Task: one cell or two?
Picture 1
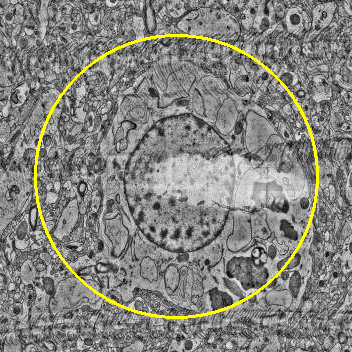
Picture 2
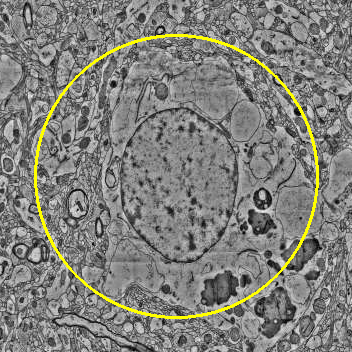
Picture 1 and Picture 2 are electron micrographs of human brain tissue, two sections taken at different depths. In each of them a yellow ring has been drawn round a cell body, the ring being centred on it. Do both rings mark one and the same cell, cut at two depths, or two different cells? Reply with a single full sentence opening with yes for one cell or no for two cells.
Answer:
Yes, the two marked outlines come from one and the same cell.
